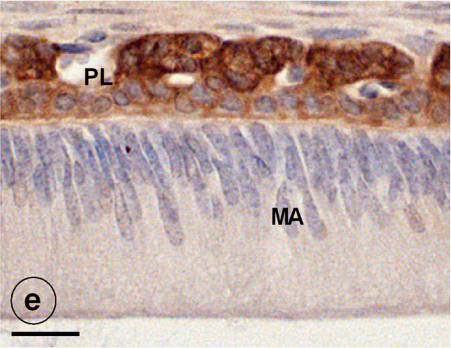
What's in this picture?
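This section of dental epithelium shows tall columnar ameloblasts beneath a layer of rounded papillary cells. The ameloblasts are long, slender and closely packed, pale with elongated blue nuclei lying toward the end that faces the papillary layer; their other ends reach toward a pale, cell-free band. Above them the papillary layer forms irregular clusters of plump cells with blue nuclei and strongly brown cytoplasm, separated by small clear spaces. The brown stain is concentrated in this layer, while the ameloblast bodies stay mostly pale. Flattened cells of loose connective tissue lie over the papillary layer.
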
